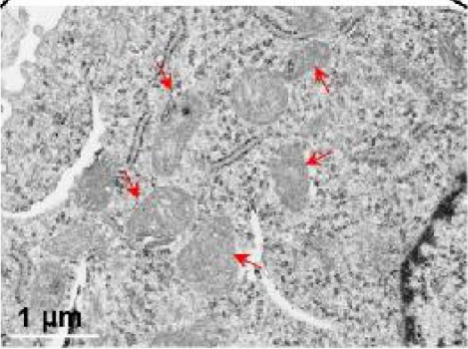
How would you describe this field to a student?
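The mitochondria lie scattered in a granular cytoplasm densely packed with small dark particles, among thin strands of membrane-bound cisternae. Pale, electron-lucent clefts run through the field. At the lower right lies the edge of a nucleus, outlined by its envelope with a dark rim of condensed chromatin along it.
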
